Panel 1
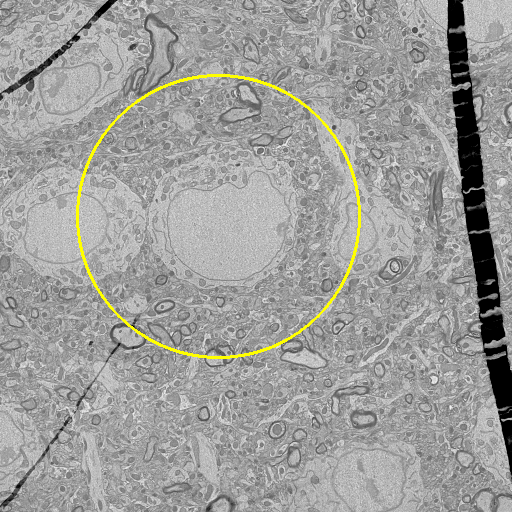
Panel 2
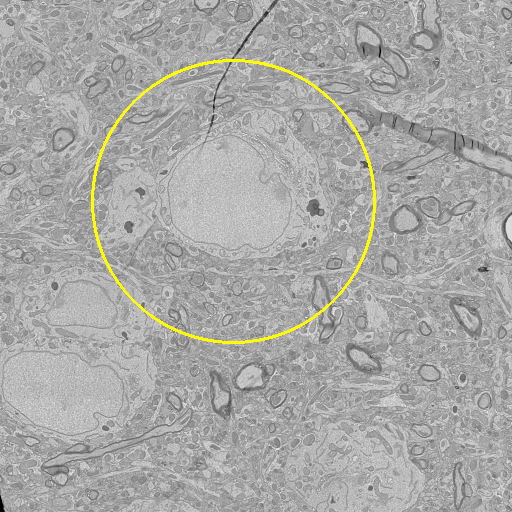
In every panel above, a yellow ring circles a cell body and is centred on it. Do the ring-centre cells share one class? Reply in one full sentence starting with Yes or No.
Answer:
Yes, the two cells at the ring centres in the panels belong to one class.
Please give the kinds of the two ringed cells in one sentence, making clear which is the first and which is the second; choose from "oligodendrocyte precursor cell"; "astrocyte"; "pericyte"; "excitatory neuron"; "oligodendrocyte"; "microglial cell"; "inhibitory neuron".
Both pictures show an excitatory neuron at the centre of the ring.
